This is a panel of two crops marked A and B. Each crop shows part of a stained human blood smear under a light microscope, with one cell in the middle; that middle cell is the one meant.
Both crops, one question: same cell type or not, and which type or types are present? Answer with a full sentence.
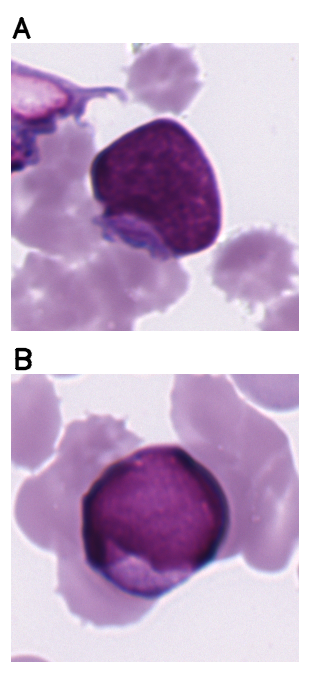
Yes, the cells at the centre of the two crops are both myeloblasts.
